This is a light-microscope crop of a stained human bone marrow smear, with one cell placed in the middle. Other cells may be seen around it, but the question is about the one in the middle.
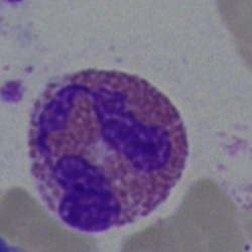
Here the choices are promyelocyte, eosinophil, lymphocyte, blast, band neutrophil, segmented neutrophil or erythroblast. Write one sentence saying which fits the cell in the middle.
In the middle of this smear crop is an eosinophil.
